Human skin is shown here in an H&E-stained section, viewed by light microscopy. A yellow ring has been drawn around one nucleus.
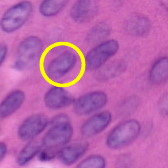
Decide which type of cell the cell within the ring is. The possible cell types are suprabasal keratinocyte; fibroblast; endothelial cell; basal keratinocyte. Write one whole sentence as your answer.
This is a suprabasal keratinocyte.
